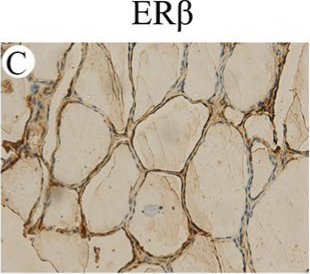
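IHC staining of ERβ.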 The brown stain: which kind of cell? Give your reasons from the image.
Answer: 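Follicular cells. Round follicles filled with pale homogeneous material are lined by a thin single layer of flattened cells.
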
